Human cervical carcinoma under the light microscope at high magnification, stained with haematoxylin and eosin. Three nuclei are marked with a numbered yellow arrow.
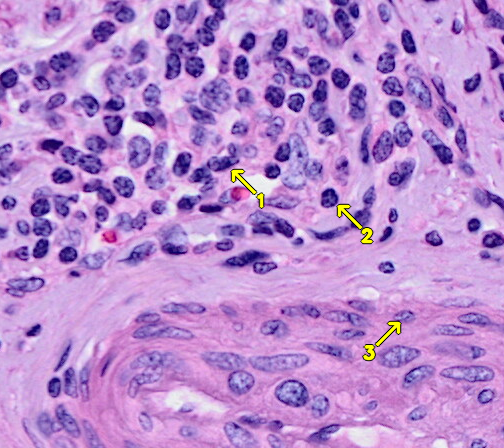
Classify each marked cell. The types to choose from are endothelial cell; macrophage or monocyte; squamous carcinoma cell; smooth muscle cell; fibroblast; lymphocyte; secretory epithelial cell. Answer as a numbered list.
1. lymphocyte
2. lymphocyte
3. smooth muscle cell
